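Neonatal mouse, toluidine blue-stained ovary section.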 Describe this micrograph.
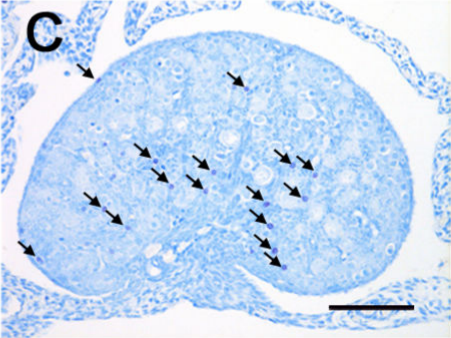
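The organ is round, enclosed by a thin membrane and surrounded by loose tissue, with an indentation at its base where the hilum lies. Its interior is packed with large round oocytes with pale cytoplasm and round nuclei, with smaller cells between them.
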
